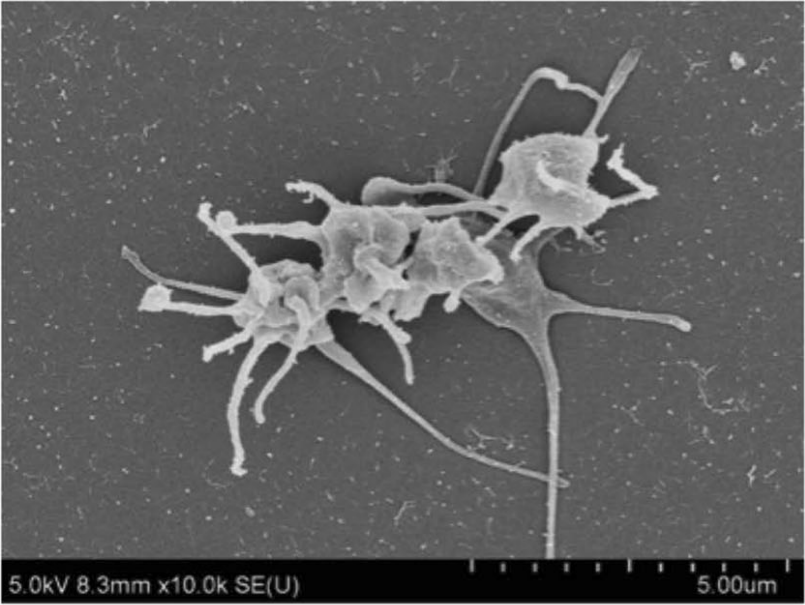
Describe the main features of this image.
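These are a small clump of activated platelets on a flat substrate, each only a few micrometres across. Long, thin pseudopods emerge from the margins of the flattened bodies and radiate outward, some ending in small knobs, while the central bodies have a rumpled, folded surface.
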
